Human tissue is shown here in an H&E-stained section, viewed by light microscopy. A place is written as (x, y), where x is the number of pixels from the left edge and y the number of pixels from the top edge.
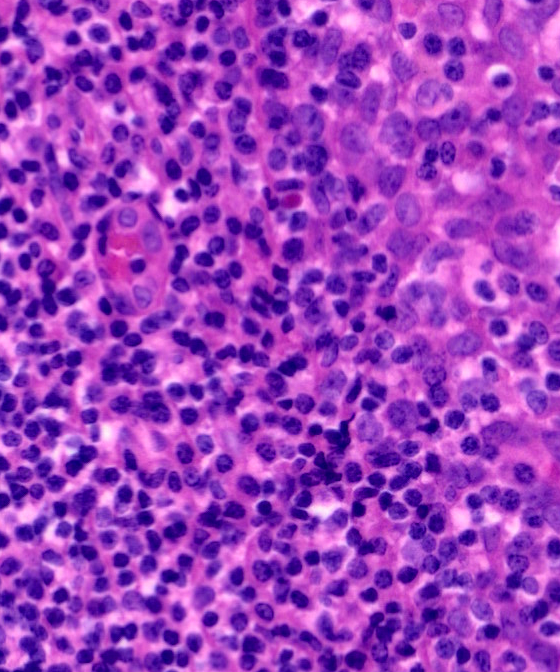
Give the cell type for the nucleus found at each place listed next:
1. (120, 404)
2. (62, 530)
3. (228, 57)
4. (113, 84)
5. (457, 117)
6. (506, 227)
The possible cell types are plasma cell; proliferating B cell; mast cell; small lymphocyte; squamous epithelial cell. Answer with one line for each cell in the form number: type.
1: plasma cell
2: small lymphocyte
3: plasma cell
4: plasma cell
5: squamous epithelial cell
6: squamous epithelial cell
